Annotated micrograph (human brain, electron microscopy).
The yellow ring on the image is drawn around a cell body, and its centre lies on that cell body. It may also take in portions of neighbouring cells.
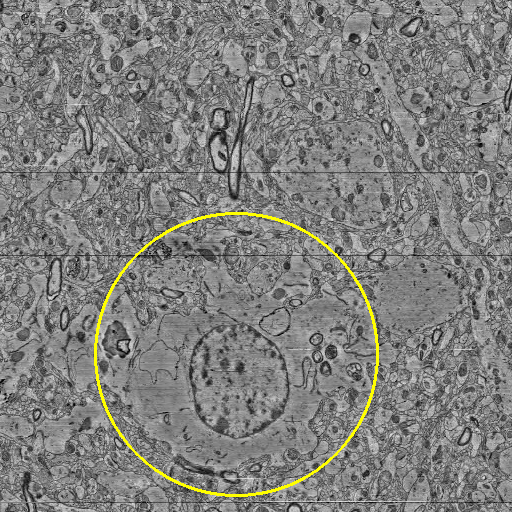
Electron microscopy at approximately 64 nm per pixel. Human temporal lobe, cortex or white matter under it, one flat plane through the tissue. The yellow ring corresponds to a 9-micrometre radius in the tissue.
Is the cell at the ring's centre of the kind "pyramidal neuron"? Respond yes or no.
No, it is of another kind.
